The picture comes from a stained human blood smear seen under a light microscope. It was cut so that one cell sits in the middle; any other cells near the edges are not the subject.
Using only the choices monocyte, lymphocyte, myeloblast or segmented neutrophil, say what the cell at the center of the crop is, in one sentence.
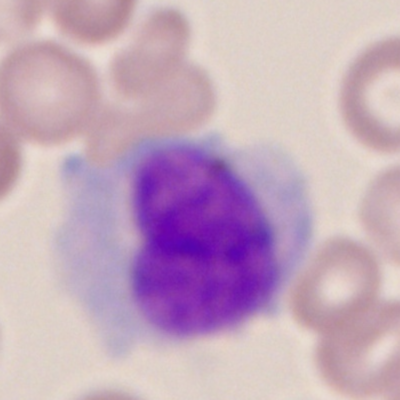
The cell sitting right in the middle is a monocyte.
